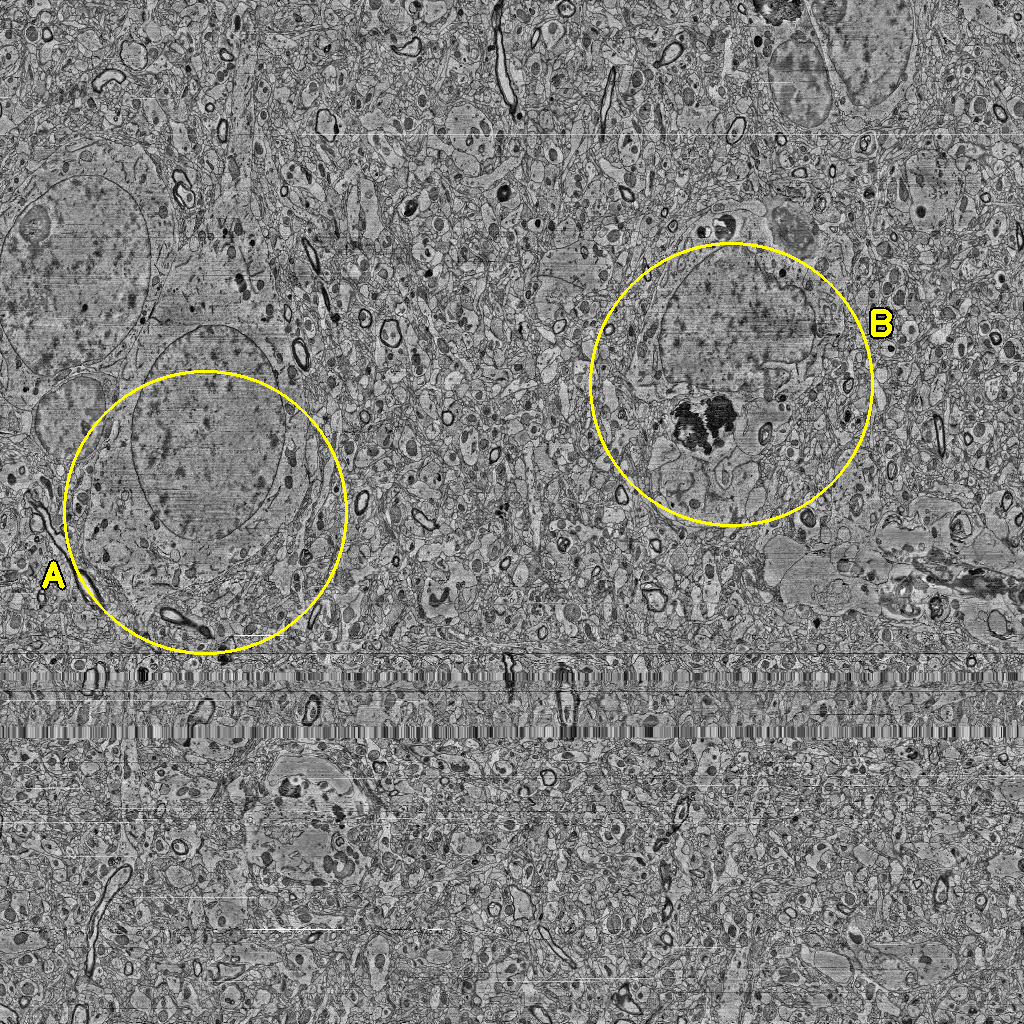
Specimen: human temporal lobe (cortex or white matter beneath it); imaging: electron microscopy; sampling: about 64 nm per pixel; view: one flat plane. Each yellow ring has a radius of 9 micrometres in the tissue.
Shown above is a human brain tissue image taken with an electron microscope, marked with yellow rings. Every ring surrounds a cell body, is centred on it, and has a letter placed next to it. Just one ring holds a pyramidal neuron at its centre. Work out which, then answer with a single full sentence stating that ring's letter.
Ring A is the one whose centre holds a cell of that kind.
